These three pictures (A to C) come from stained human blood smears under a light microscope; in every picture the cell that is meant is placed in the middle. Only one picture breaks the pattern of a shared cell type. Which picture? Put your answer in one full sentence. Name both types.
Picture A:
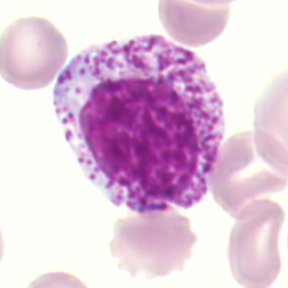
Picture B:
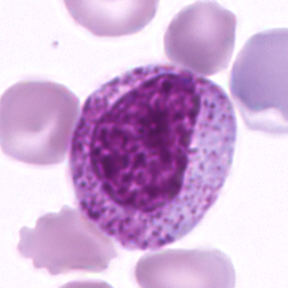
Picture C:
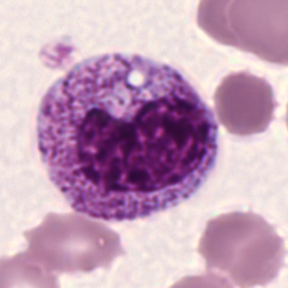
The different one is picture C; it shows a metamyelocyte, whereas all the others show myelocytes.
